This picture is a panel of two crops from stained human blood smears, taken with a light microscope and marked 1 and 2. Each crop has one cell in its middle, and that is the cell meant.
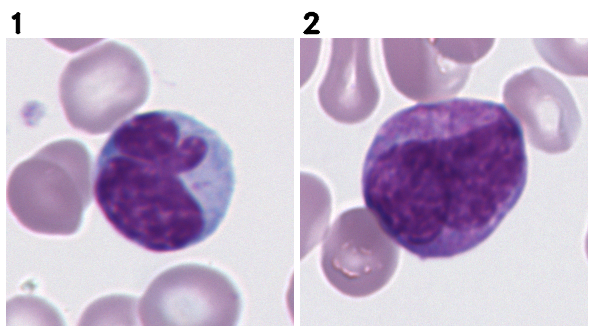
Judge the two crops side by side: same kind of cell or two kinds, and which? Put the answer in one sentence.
No, crop 1 is where a myeloblast is shown, and crop 2 is where an atypical promyelocyte is shown.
